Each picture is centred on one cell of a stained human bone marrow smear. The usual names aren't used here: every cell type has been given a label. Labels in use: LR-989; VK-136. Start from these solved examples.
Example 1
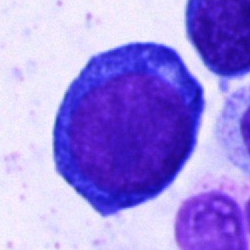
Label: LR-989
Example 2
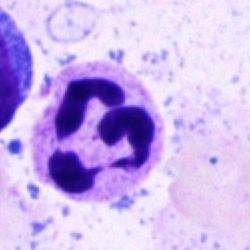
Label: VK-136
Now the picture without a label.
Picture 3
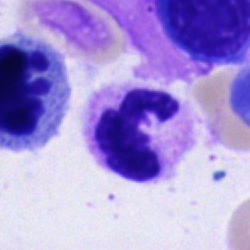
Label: VK-136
